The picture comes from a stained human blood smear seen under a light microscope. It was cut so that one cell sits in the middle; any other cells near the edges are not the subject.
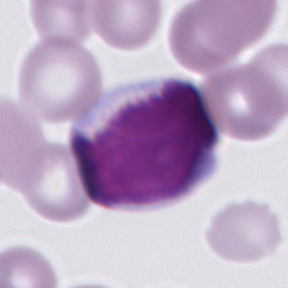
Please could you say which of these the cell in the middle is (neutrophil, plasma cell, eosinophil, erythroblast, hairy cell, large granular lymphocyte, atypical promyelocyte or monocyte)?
large granular lymphocyte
